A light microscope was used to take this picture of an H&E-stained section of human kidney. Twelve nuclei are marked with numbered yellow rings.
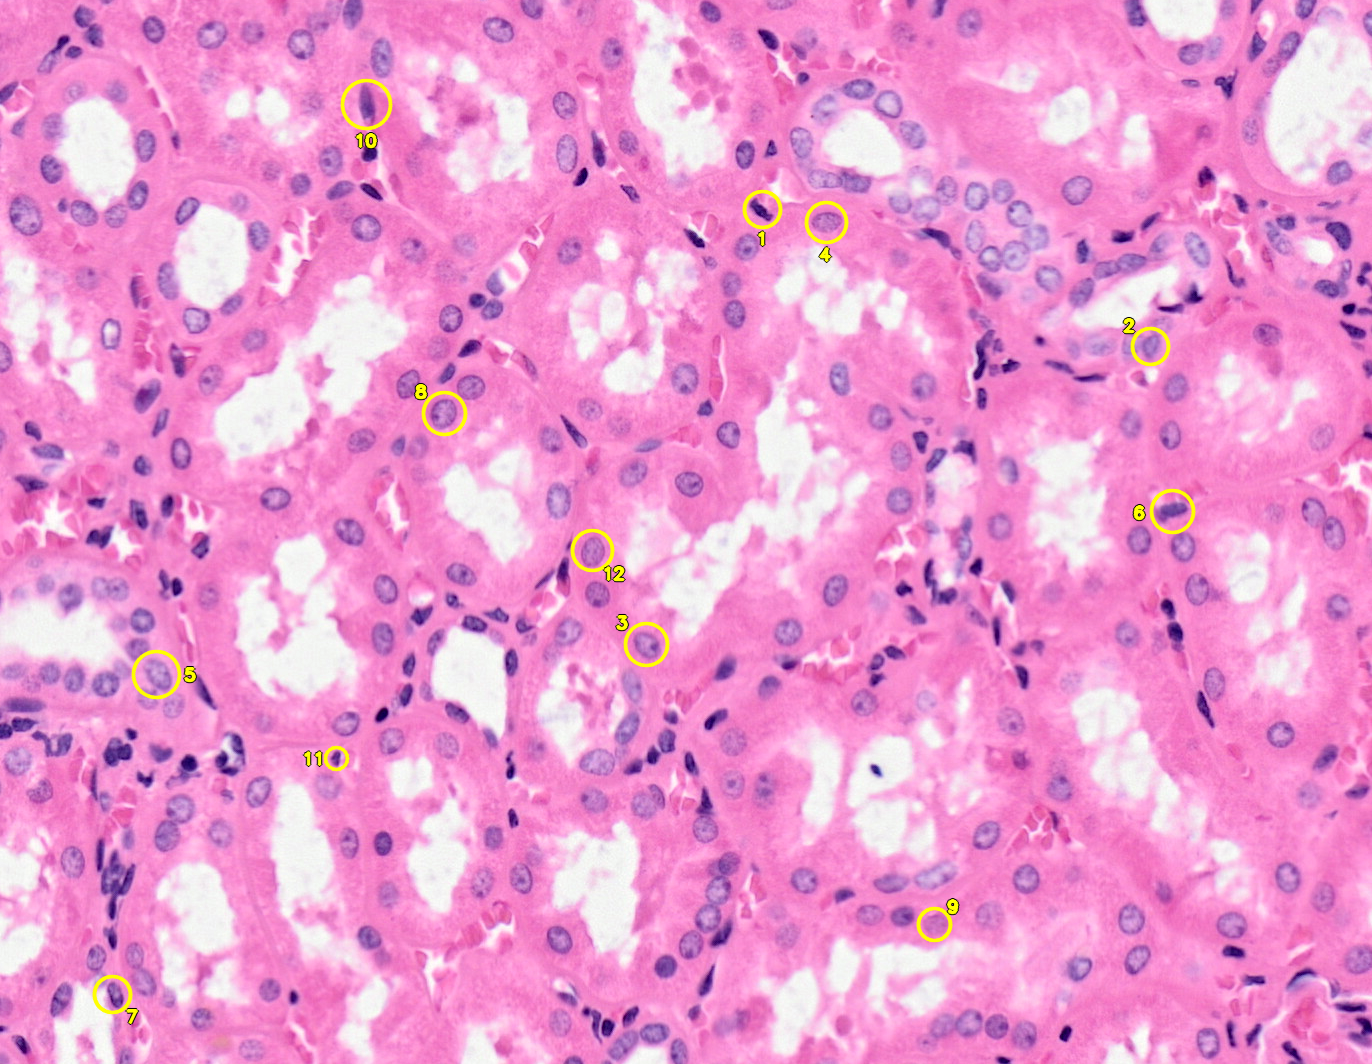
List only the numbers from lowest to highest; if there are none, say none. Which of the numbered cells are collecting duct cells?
2, 5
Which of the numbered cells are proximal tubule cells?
3, 4, 8, 9, 12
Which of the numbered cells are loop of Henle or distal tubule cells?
7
